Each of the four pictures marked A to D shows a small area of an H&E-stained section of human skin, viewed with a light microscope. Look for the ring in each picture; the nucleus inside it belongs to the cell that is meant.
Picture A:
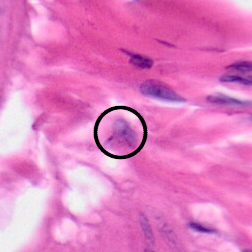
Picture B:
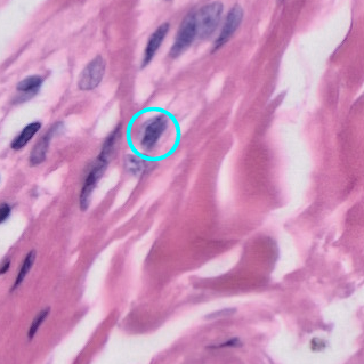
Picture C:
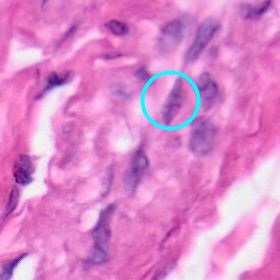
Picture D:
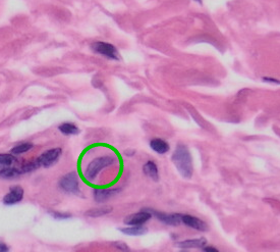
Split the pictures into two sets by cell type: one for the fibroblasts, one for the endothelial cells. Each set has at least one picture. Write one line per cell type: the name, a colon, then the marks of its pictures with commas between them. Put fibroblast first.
fibroblast: A
endothelial cell: B, C, D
